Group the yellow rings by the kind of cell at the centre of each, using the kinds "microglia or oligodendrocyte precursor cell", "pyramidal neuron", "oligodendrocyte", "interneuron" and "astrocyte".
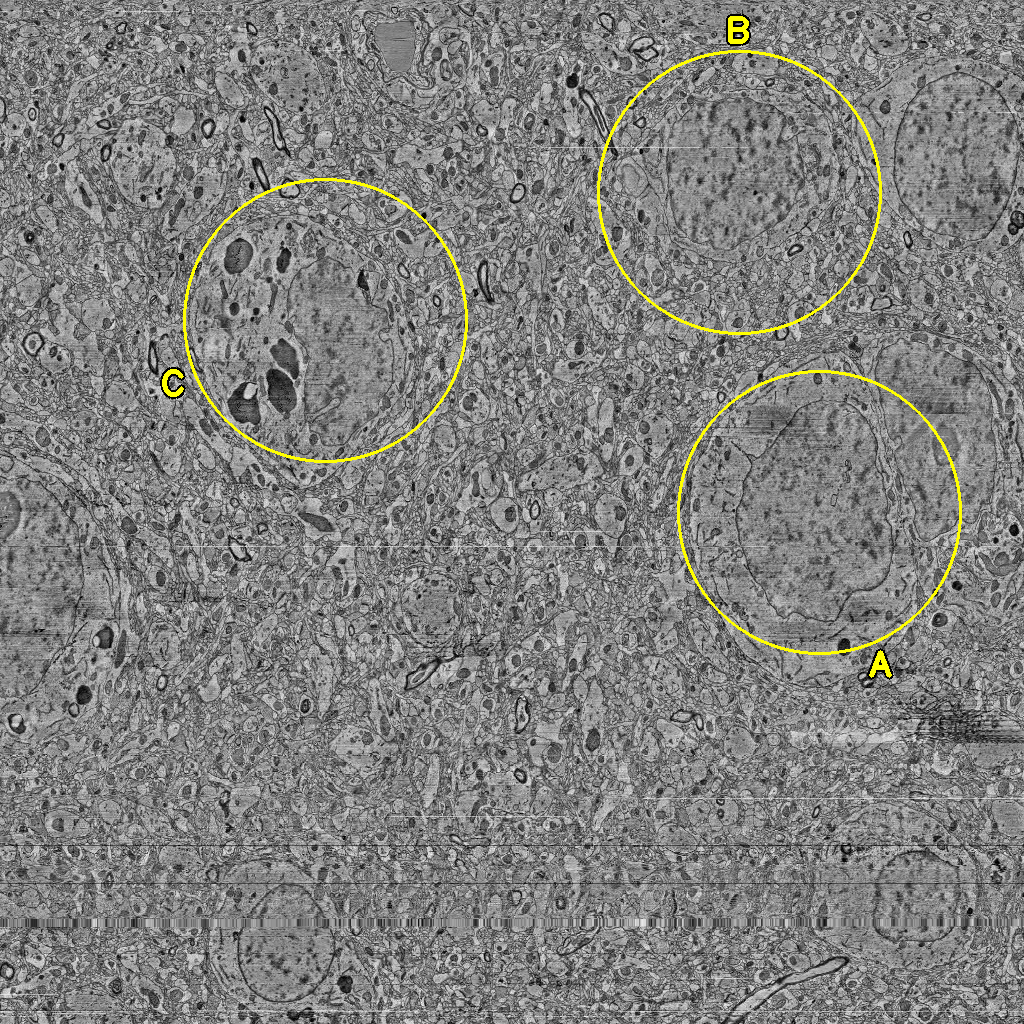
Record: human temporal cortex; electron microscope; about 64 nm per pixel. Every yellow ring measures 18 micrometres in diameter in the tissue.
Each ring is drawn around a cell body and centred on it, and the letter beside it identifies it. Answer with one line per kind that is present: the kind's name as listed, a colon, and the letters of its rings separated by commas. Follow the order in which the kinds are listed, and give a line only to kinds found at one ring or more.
pyramidal neuron: A
interneuron: B, C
